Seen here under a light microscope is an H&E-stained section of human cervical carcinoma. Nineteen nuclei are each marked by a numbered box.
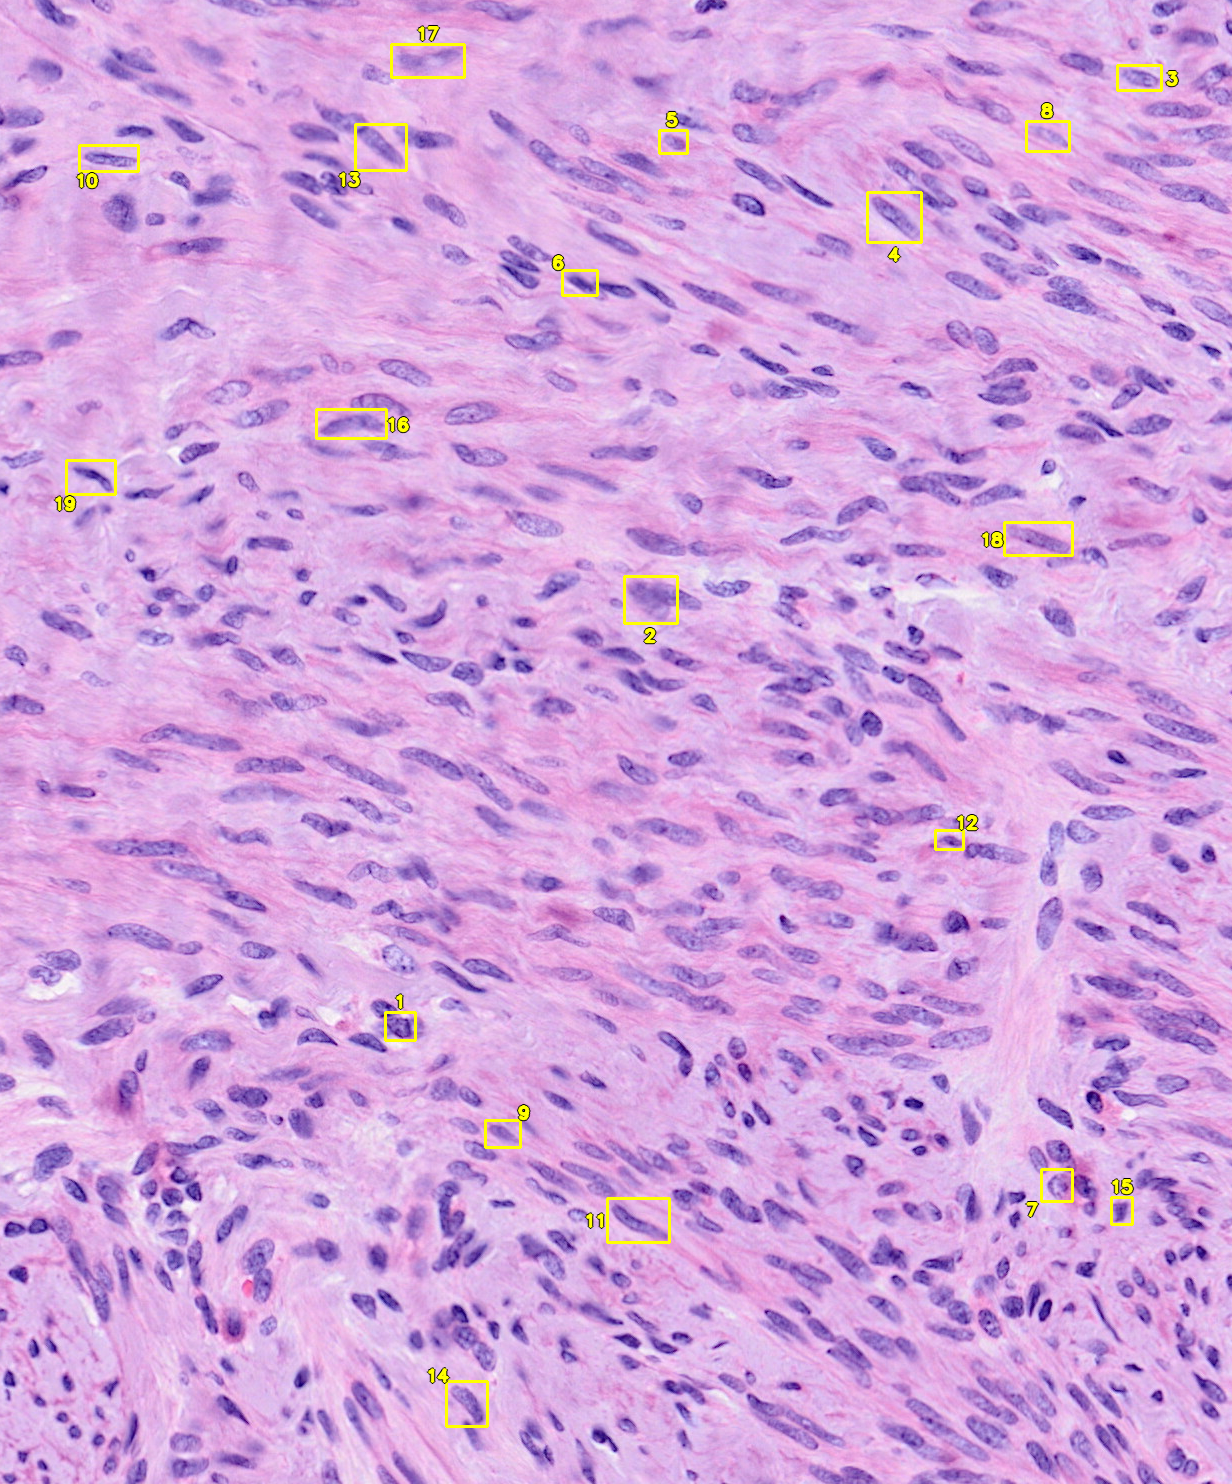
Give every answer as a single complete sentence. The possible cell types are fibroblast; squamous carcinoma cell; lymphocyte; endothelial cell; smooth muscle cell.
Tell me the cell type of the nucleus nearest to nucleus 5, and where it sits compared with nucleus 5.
It is a fibroblast, whose nucleus lies above and to the right of nucleus 5.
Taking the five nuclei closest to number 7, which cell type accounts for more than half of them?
Of the five nuclei nearest to number 7, most belong to endothelial cells.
